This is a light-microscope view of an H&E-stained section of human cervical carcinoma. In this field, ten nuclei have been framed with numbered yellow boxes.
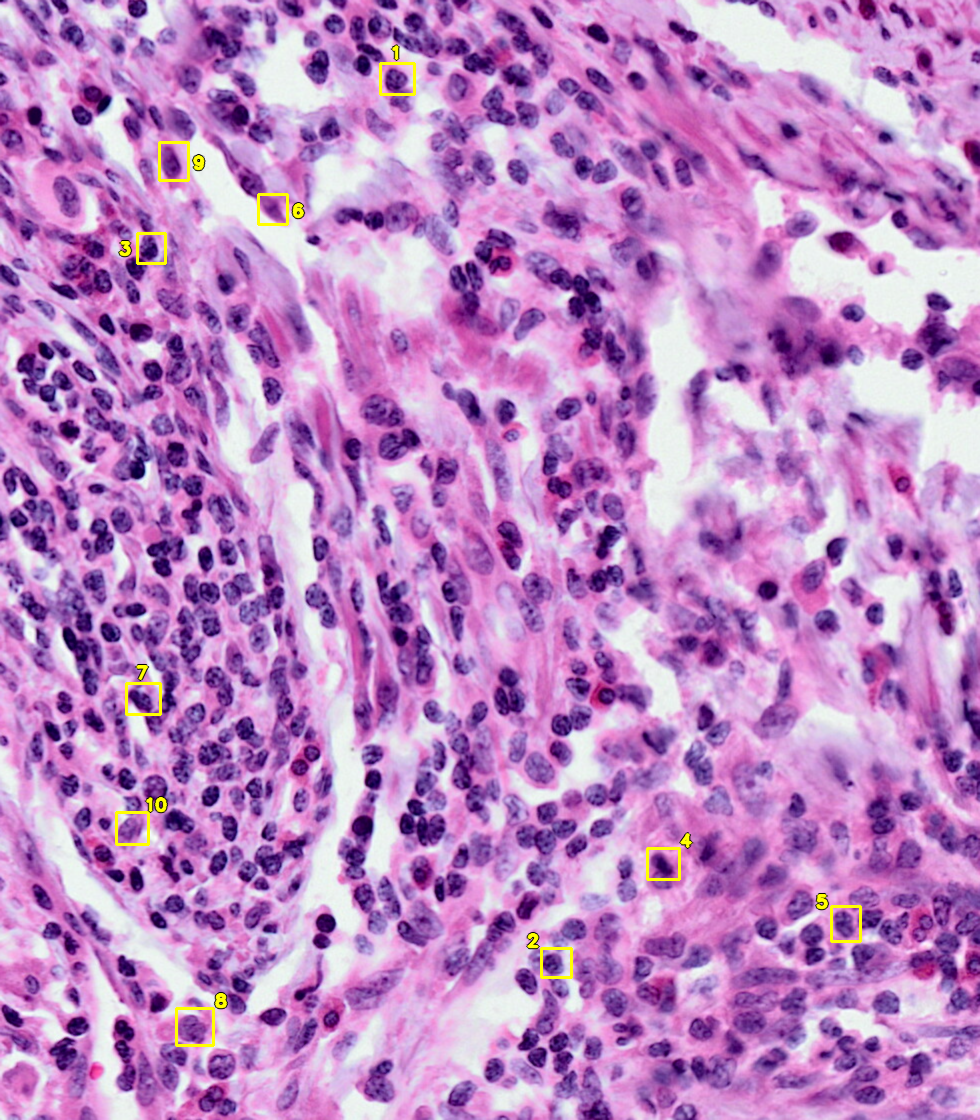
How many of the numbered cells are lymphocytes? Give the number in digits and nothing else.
6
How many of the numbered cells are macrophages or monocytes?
3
